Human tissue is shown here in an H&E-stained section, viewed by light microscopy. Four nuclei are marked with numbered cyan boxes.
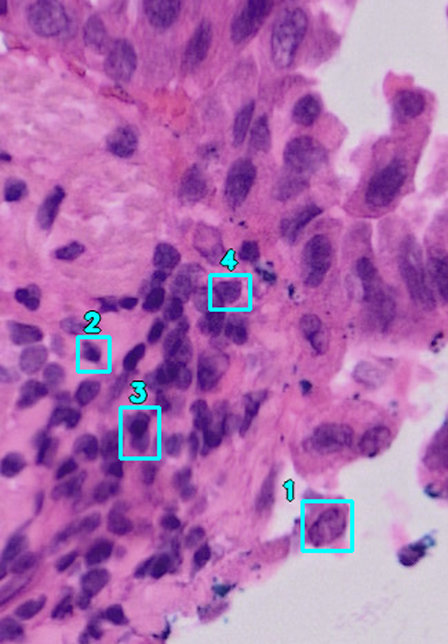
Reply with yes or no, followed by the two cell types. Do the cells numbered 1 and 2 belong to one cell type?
No, while cell 1 is a macrophage or monocyte, cell 2 is a lymphocyte.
